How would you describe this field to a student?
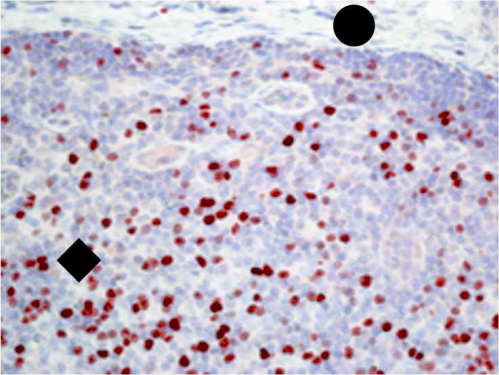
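This is lymph node lymphoid tissue at high power, packed with small round lymphocytes whose round nuclei are counterstained blue. Along the top runs the node's thin fibrous capsule with flattened, elongated nuclei.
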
